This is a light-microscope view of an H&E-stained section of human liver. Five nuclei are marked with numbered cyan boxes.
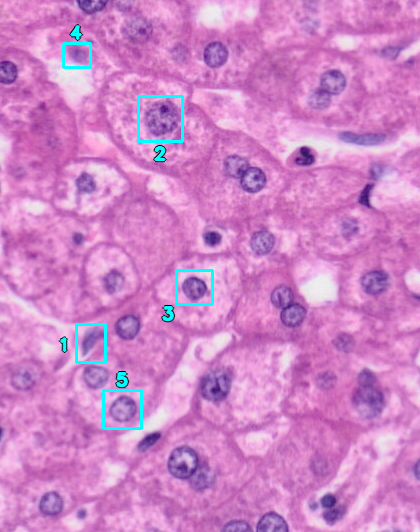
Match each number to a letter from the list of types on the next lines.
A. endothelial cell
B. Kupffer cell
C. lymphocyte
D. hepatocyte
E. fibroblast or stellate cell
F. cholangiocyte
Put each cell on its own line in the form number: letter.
1: A
2: D
3: D
4: B
5: D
